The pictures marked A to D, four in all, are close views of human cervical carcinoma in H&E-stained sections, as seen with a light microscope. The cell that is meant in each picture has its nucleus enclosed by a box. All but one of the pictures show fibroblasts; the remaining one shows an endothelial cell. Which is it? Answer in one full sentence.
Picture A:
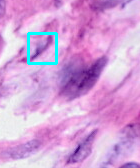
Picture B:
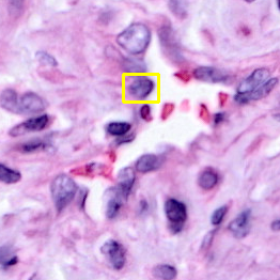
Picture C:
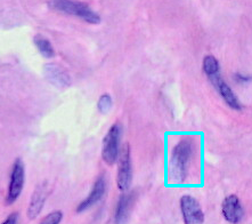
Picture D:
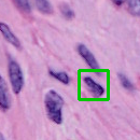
The cell in picture B is the endothelial cell.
